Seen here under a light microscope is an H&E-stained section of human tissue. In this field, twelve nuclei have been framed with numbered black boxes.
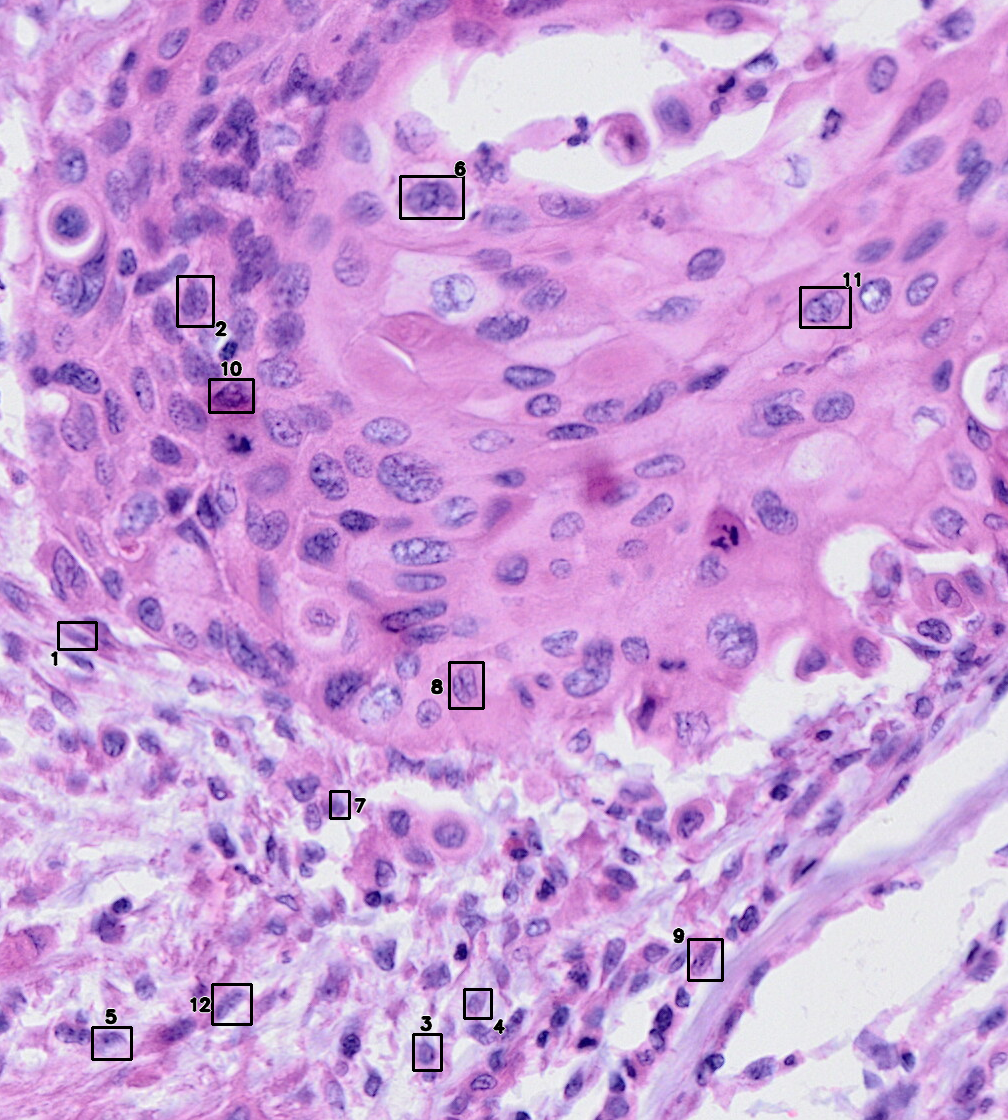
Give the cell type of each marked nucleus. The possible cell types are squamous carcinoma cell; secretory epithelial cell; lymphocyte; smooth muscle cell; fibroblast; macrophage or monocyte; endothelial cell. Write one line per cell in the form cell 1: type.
cell 1: fibroblast
cell 2: squamous carcinoma cell
cell 3: macrophage or monocyte
cell 4: fibroblast
cell 5: fibroblast
cell 6: squamous carcinoma cell
cell 7: fibroblast
cell 8: squamous carcinoma cell
cell 9: macrophage or monocyte
cell 10: squamous carcinoma cell
cell 11: squamous carcinoma cell
cell 12: fibroblast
